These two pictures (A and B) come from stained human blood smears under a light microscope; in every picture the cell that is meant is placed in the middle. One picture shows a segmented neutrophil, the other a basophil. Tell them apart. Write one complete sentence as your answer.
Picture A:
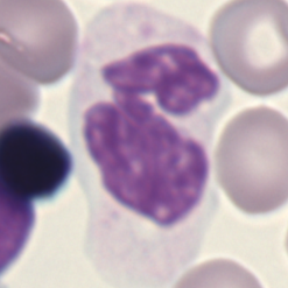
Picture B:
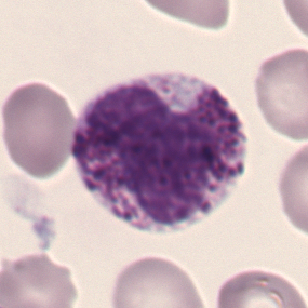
Picture A shows a segmented neutrophil and picture B shows a basophil.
